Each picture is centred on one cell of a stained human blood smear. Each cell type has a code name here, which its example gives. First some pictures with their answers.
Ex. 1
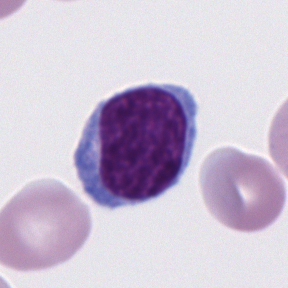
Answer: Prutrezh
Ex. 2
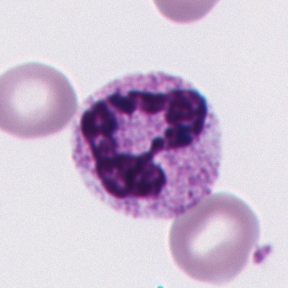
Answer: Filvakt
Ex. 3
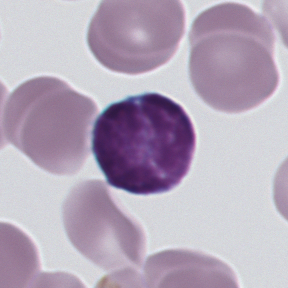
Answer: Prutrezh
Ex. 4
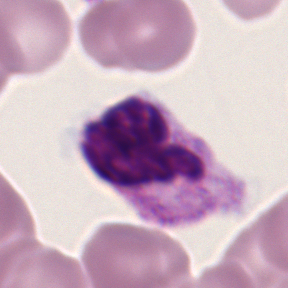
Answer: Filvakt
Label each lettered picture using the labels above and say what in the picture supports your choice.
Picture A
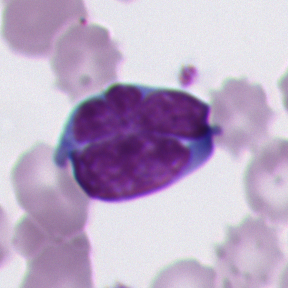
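Answer: Prutrezh. The nucleus fills almost the whole cell, leaving only a narrow rim of cytoplasm.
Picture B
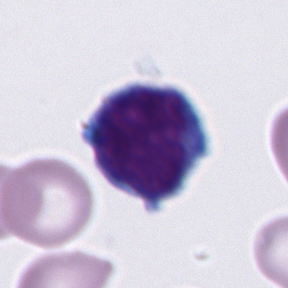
Answer: Prutrezh. Only a very thin rim of cytoplasm shows beside the nucleus.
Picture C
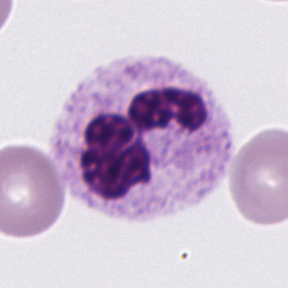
Answer: Filvakt. The cytoplasm is plentiful and pale pinkish-lilac.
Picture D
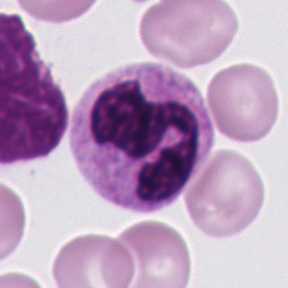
Answer: Filvakt. The nucleus is one continuous thick curved band, not separated into lobes by thin threads.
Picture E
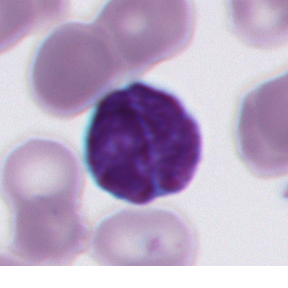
Answer: Prutrezh. The cytoplasm forms only a very thin rim around the nucleus.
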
